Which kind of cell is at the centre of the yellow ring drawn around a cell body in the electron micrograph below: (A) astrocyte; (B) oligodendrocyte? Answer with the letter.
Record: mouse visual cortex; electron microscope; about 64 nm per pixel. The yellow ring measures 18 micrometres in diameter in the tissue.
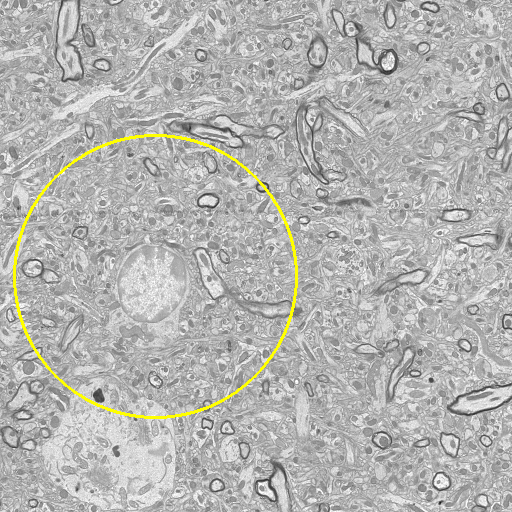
B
